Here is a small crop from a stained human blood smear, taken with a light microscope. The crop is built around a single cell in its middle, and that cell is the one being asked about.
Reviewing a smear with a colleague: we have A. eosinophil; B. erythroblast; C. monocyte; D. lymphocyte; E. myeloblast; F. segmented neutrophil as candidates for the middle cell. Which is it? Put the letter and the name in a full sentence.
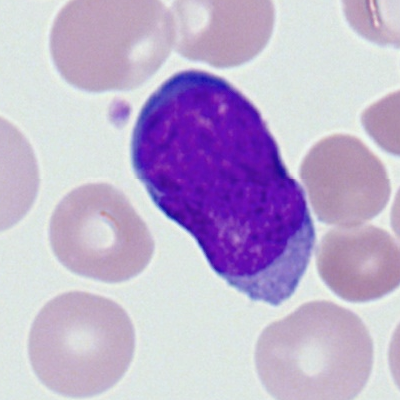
In this crop the middle cell is a myeloblast, so option E is the correct answer.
